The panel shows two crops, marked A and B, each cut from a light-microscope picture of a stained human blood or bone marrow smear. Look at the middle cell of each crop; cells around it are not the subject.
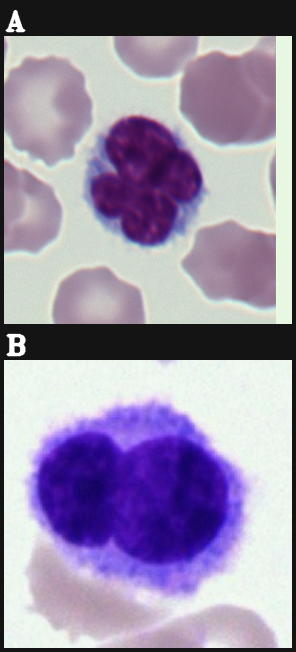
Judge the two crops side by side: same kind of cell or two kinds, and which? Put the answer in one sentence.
Yes, both crops show hairy cells in the middle.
